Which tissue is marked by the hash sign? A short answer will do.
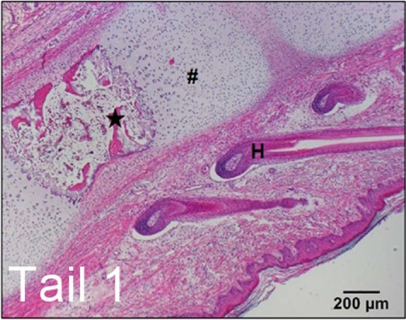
Cartilaginous (not yet ossified) part of the caudal vertebrae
